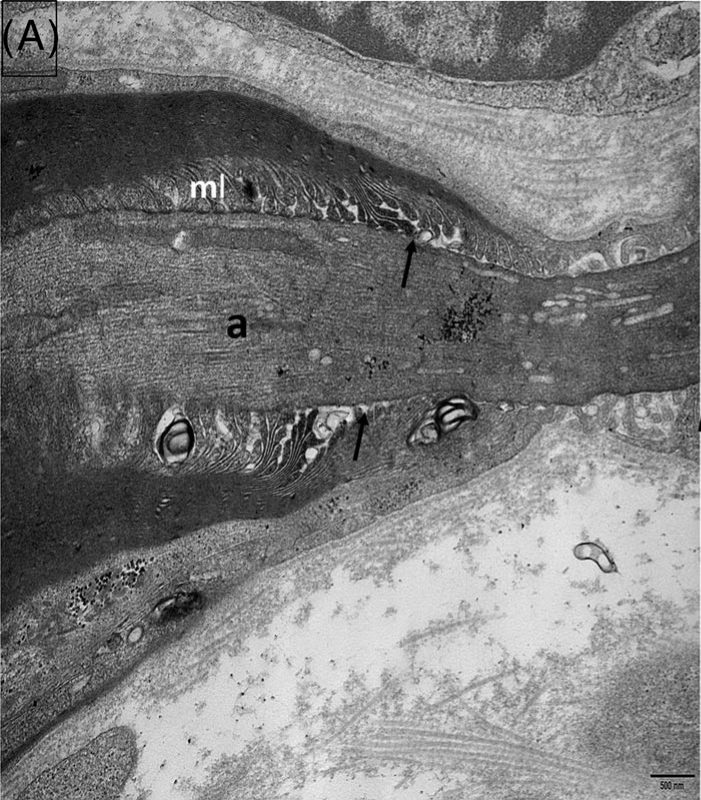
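This longitudinal electron micrograph shows a myelinated nerve fibre at a paranode, with a central axon flanked above and below by dark compact myelin. The axon runs horizontally across the field and is filled with fine longitudinal filaments and scattered small vesicles and mitochondrial profiles. The myelin sheath on each side ends in a series of thin, closely stacked cytoplasmic loops that approach the axon surface. Between these loops and the axon there are pale gaps and small clear spaces rather than a tight, regularly banded contact. A few whorled membranous bodies lie near the lower loops, and the fibre is surrounded by pale endoneurial space containing collagen fibrils.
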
